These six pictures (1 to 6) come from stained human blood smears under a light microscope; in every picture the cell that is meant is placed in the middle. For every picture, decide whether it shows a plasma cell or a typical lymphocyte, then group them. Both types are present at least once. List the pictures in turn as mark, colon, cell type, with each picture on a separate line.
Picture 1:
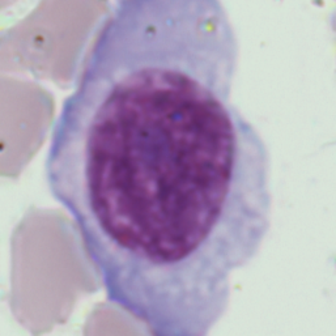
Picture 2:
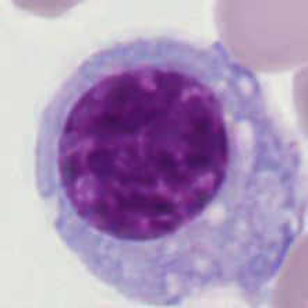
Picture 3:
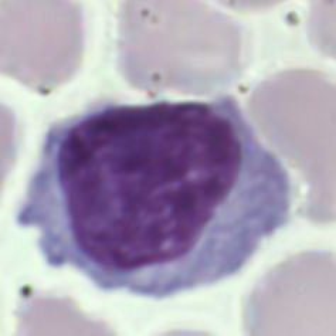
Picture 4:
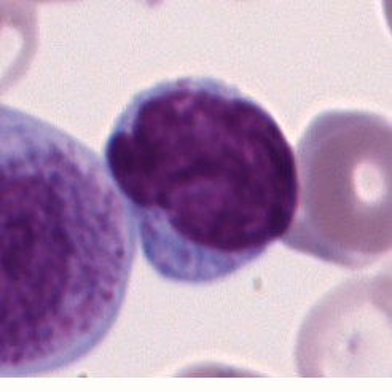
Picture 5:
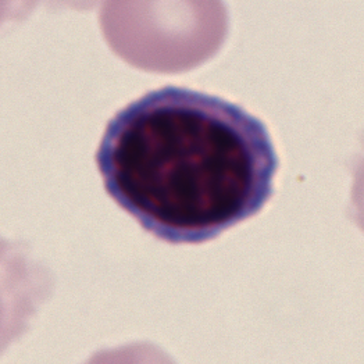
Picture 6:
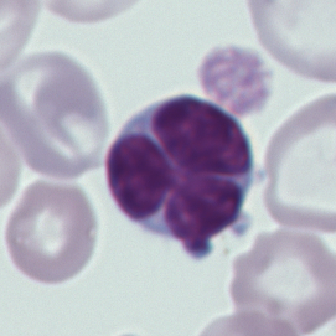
1: plasma cell
2: plasma cell
3: plasma cell
4: typical lymphocyte
5: typical lymphocyte
6: typical lymphocyte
